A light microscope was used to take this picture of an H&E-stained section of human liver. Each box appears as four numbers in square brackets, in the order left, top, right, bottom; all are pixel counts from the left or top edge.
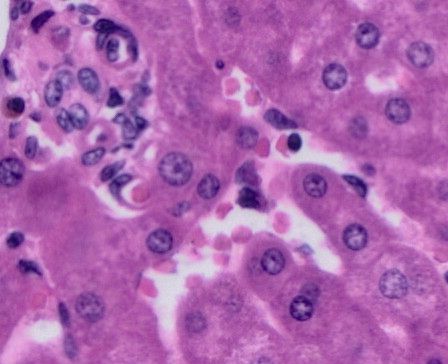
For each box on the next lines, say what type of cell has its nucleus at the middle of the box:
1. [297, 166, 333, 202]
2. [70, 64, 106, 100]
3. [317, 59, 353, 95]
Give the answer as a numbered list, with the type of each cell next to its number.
1. hepatocyte
2. cholangiocyte
3. hepatocyte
